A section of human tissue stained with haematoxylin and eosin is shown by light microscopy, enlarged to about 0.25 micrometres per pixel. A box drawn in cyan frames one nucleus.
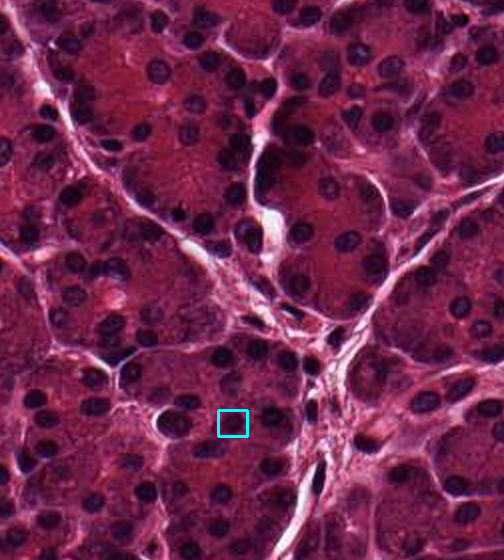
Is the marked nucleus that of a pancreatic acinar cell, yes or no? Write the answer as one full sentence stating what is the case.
Yes, a pancreatic acinar cell is the owner of the marked nucleus.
